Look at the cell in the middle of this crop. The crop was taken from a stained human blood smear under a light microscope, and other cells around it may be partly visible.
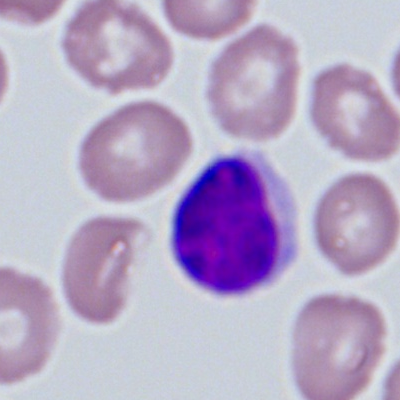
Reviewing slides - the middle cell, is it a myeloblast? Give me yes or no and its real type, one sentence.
No, what the centre of the crop shows is a lymphocyte, not a myeloblast.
